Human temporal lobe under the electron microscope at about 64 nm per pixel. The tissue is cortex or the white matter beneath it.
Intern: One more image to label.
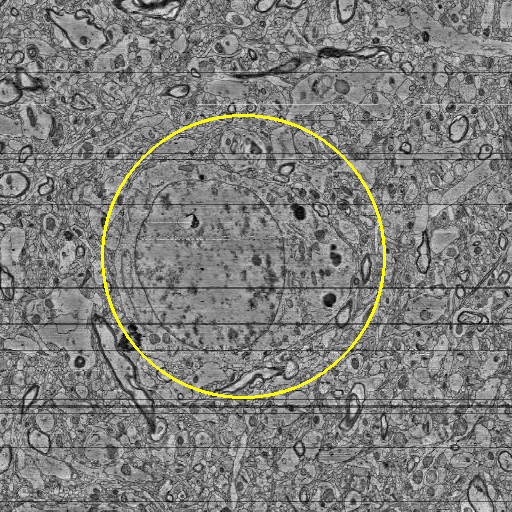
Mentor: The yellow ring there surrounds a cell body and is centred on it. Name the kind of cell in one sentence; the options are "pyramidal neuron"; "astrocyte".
The ring marks the cell body of a pyramidal neuron.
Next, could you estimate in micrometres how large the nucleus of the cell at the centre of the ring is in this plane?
Approximately 12 micrometres long and 10 micrometres wide, in this plane.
